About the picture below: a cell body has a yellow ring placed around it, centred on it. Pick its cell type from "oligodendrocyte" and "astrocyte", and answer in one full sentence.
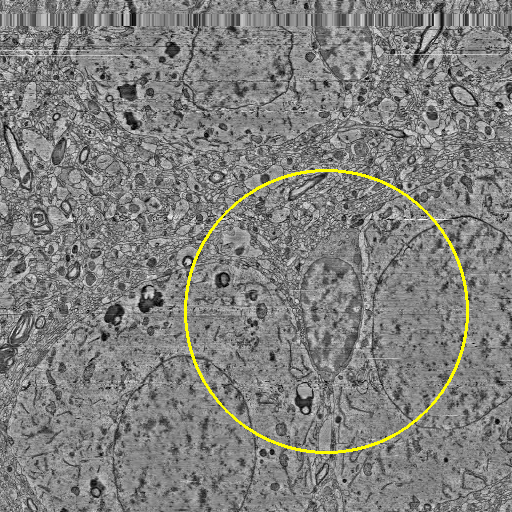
In the picture, an oligodendrocyte is the cell sitting at the centre of the yellow ring.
